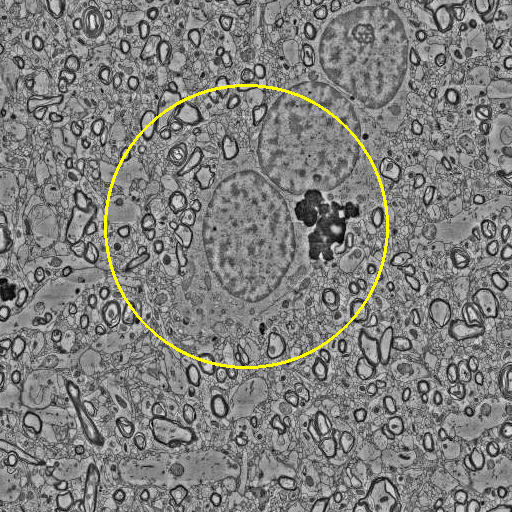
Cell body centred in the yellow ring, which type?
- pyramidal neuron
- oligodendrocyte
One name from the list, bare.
oligodendrocyte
